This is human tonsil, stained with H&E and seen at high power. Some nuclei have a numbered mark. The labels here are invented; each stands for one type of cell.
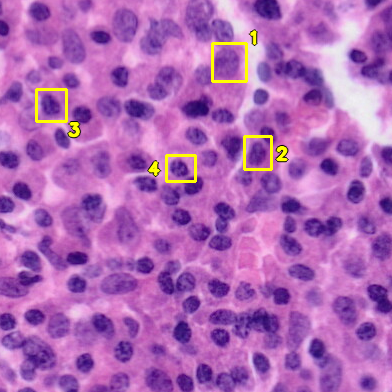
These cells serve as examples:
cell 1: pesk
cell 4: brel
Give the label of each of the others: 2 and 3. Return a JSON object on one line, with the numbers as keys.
{"2": "brel", "3": "brel"}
